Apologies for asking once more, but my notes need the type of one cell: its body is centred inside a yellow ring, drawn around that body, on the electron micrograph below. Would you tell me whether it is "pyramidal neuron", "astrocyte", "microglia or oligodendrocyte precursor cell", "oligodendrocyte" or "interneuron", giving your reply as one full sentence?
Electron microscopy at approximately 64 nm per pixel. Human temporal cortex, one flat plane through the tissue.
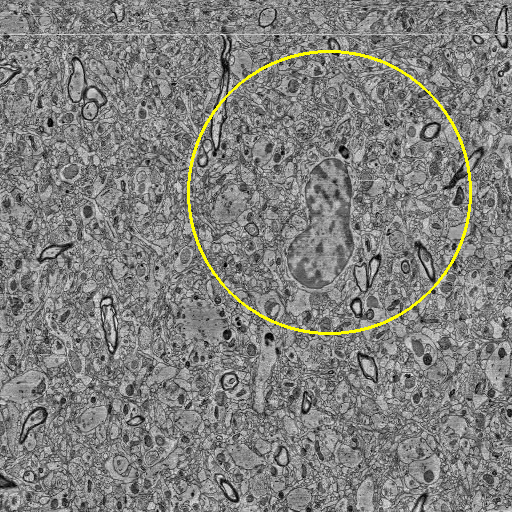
The cell that the yellow ring is centred on is a microglial cell or oligodendrocyte precursor cell in this micrograph.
